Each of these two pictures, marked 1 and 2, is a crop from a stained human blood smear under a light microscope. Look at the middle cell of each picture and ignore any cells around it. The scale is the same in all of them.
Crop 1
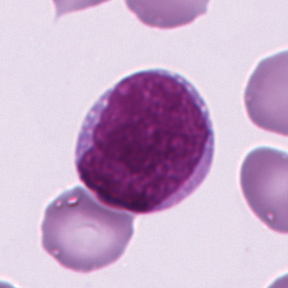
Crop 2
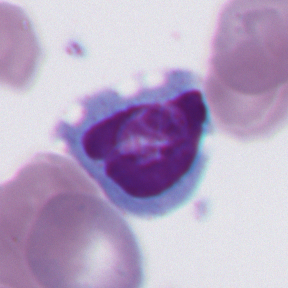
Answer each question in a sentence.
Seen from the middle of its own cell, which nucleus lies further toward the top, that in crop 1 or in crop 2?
In crop 1 the nucleus is shifted more toward the top.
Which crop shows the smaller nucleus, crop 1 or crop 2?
Smaller is the nucleus in crop 2, and the other is about 1.5 times as large in area.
